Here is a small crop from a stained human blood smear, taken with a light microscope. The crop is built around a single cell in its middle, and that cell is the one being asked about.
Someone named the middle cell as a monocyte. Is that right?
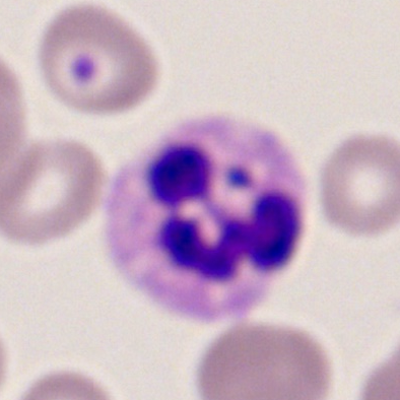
no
